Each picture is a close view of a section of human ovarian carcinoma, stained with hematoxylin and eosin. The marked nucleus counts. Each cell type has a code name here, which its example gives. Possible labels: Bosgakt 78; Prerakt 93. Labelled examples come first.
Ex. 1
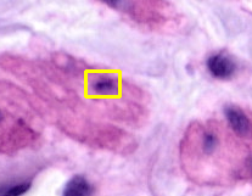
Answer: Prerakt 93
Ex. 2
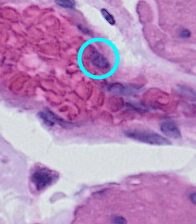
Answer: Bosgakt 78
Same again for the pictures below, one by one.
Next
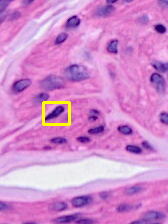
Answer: Prerakt 93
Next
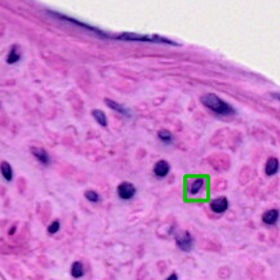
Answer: Prerakt 93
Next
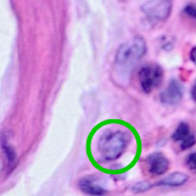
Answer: Bosgakt 78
